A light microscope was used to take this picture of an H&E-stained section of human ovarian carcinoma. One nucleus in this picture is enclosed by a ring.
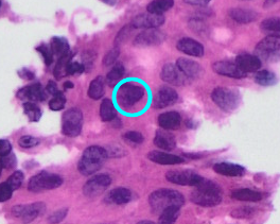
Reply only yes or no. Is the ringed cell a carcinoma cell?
yes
